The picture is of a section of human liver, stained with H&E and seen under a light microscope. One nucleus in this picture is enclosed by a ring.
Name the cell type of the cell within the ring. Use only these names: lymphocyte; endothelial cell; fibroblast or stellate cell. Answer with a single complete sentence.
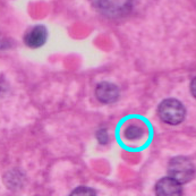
Within the stained tissue, the cell within the ring is a lymphocyte.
